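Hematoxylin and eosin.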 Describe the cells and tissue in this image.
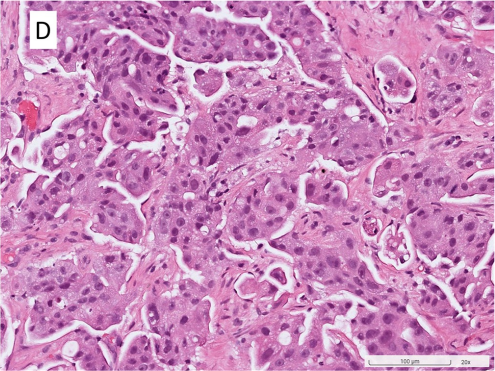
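A carcinoma with high-grade micropapillary patterns: small nests and tufts of tumor cells lie within clear, empty-appearing spaces set in pink collagenous stroma. The cell clusters lack central fibrovascular cores and some form small ring-like groups. Tumor cells are polygonal with moderate amounts of eosinophilic cytoplasm and enlarged, round to oval, pleomorphic nuclei, some with visible nucleoli. The clear spaces outline the clusters in a branching, net-like arrangement across the field, and a few red blood cells are seen at the left edge.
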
